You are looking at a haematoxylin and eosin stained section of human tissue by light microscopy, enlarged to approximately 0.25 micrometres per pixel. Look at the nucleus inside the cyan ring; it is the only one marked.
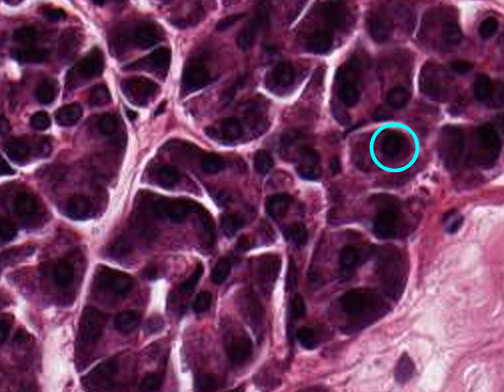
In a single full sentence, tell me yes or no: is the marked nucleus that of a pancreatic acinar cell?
Yes, the marked nucleus is held by a pancreatic acinar cell.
